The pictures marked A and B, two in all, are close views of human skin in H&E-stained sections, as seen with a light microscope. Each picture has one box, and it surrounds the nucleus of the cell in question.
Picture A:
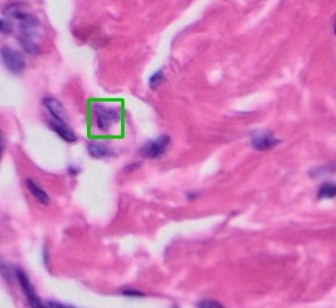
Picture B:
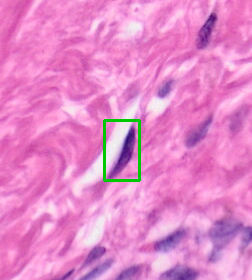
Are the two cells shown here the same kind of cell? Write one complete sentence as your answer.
No. Picture A shows an endothelial cell, but picture B shows a fibroblast.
